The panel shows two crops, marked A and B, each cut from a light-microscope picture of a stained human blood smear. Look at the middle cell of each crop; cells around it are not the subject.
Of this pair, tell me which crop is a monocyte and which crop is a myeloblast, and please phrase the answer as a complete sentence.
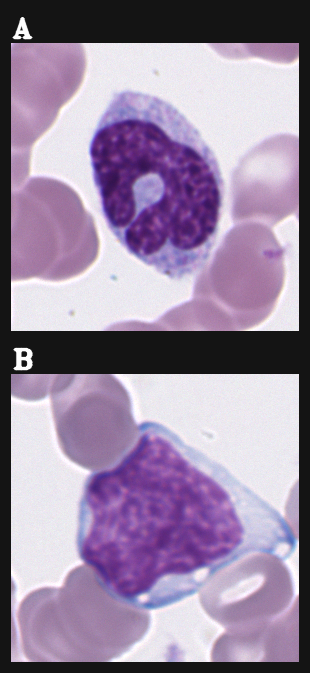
It is a monocyte that crop A shows, and a myeloblast that crop B shows.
